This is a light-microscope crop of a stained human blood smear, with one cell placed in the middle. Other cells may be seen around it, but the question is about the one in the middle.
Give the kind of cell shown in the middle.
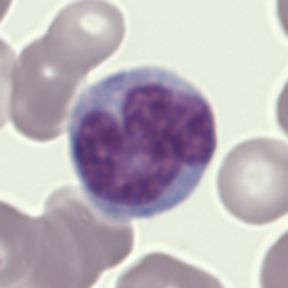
monocyte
